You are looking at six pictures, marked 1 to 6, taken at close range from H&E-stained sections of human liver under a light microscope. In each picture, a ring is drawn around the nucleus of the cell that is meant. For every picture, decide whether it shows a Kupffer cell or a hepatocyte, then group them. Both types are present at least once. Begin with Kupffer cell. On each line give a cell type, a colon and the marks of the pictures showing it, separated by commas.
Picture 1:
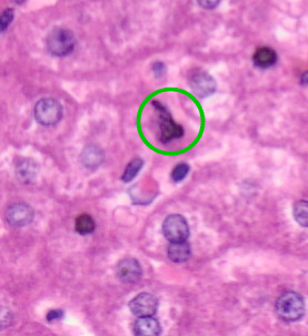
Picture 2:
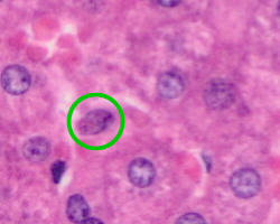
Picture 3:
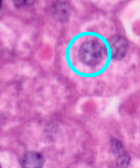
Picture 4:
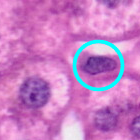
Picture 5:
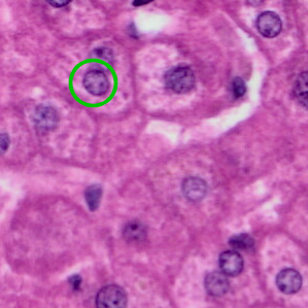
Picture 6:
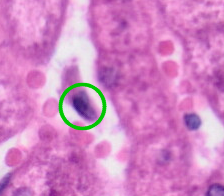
Kupffer cell: 1, 2, 4, 6
hepatocyte: 3, 5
